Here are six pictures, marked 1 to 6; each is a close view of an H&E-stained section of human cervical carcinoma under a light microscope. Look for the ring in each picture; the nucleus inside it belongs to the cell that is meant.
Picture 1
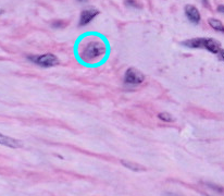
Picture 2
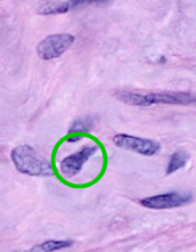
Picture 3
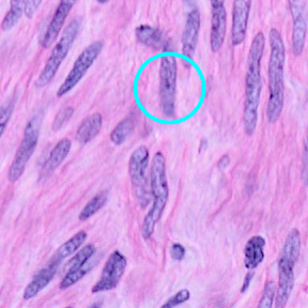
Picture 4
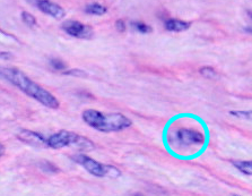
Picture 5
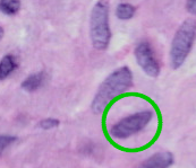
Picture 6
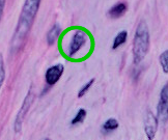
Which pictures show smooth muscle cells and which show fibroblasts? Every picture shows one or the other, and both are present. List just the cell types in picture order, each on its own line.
smooth muscle cell
fibroblast
smooth muscle cell
smooth muscle cell
fibroblast
fibroblast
